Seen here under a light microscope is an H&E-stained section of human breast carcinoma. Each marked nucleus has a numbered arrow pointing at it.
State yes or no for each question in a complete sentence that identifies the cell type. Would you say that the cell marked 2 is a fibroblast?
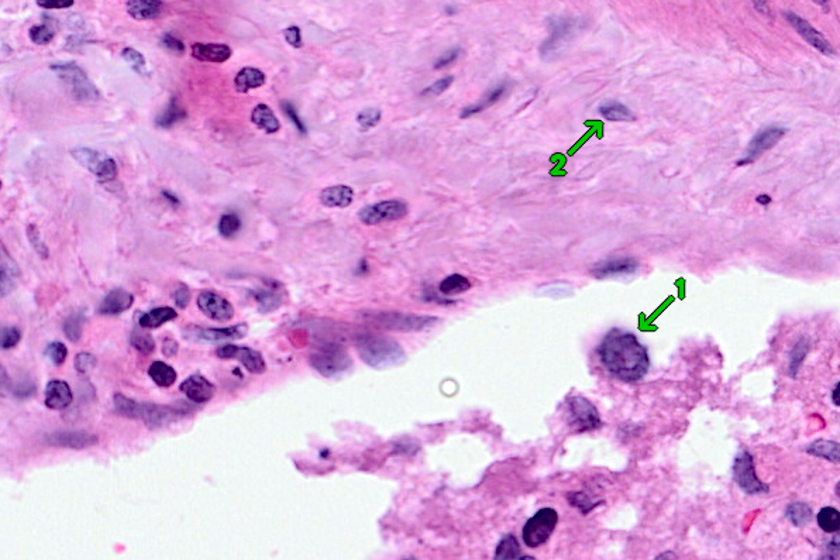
Yes, number 2 corresponds to a fibroblast.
